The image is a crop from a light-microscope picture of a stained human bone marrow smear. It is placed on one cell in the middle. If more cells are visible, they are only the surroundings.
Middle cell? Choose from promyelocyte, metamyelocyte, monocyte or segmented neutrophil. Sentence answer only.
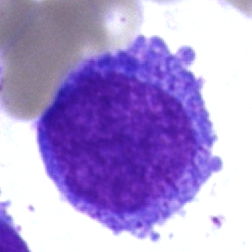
The middle cell in this particular crop is a promyelocyte.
